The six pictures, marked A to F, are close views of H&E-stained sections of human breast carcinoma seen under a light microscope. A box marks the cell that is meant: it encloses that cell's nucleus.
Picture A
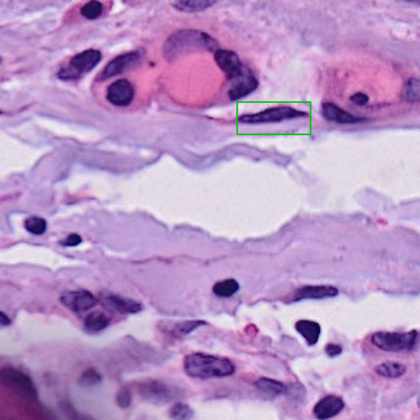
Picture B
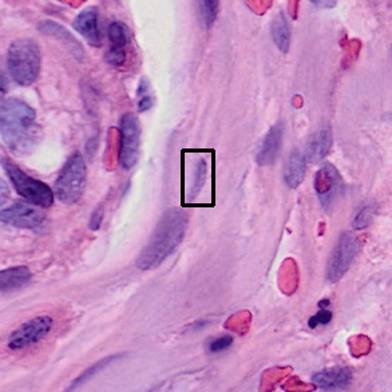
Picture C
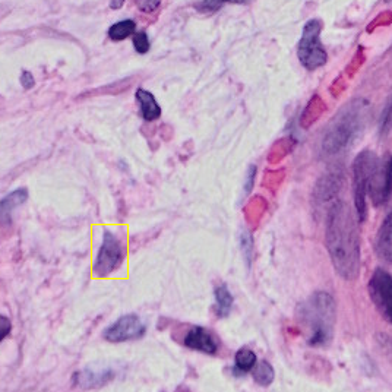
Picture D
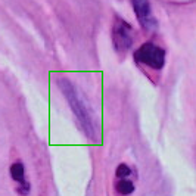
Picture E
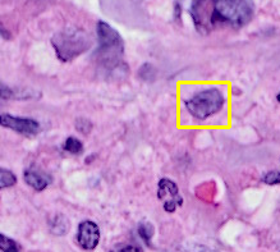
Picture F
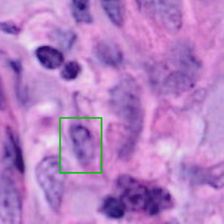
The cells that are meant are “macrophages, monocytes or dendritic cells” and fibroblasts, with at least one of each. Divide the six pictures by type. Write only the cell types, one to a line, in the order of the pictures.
fibroblast
fibroblast
macrophage, monocyte or dendritic cell
fibroblast
macrophage, monocyte or dendritic cell
macrophage, monocyte or dendritic cell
